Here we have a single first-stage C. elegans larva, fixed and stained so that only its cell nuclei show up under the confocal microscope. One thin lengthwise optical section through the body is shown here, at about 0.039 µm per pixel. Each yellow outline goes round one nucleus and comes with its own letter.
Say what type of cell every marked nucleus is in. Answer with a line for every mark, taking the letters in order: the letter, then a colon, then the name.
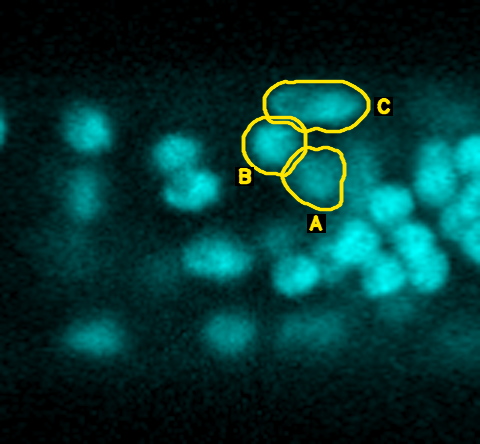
A: pharyngeal gland cell
B: neuron
C: body wall muscle cell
